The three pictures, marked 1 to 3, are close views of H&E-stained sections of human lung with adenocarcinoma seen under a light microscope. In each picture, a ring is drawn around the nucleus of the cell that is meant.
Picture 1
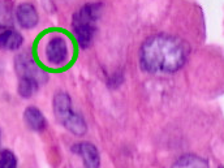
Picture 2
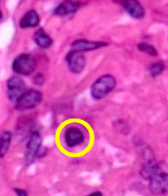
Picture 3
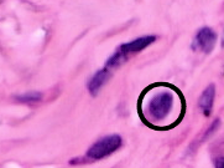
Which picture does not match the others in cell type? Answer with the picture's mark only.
1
